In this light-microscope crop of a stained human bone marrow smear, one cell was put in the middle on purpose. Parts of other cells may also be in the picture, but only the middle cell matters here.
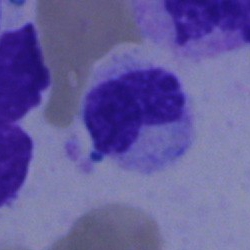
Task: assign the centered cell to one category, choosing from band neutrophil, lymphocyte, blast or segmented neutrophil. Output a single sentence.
The central element of this crop is a cell, namely a band neutrophil.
